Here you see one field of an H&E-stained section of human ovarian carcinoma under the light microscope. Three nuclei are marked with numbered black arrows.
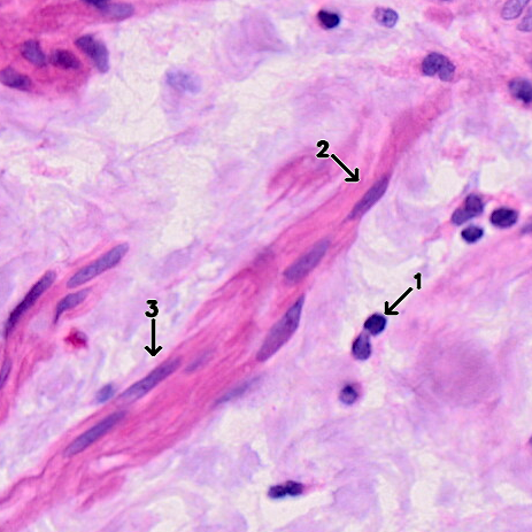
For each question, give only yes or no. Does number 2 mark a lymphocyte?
no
